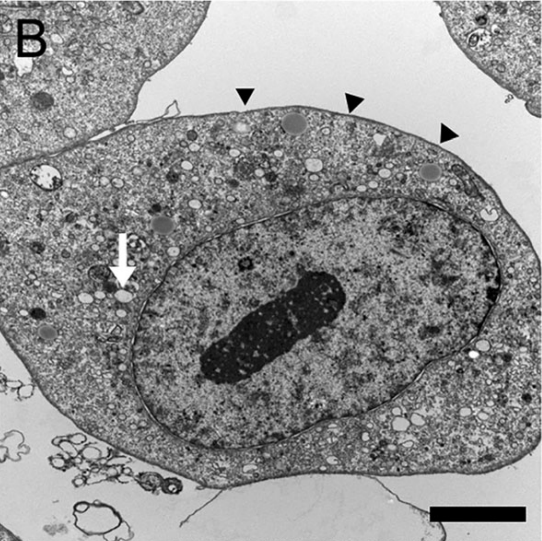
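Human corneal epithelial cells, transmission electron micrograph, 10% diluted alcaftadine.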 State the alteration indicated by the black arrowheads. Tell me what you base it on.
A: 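The cell surface at the arrowheads is smooth. No finger-like projections rise from the plasma membrane there. On this evidence: loss of microvilli.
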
